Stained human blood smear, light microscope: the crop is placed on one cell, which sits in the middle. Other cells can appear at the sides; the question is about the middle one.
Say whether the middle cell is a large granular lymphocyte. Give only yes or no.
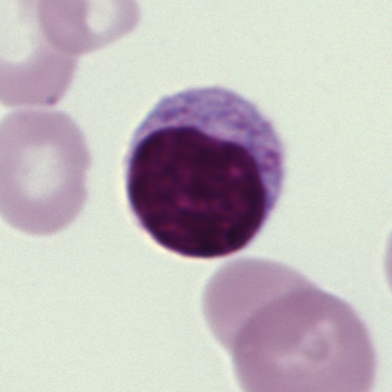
yes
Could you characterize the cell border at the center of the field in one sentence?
From every side, the cell boundary is smooth and free of projections.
